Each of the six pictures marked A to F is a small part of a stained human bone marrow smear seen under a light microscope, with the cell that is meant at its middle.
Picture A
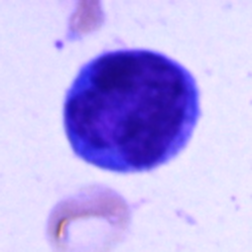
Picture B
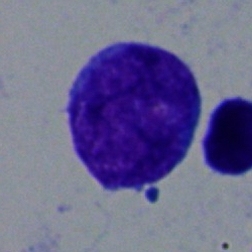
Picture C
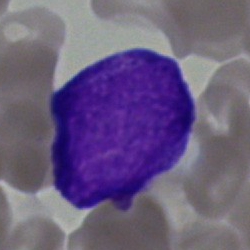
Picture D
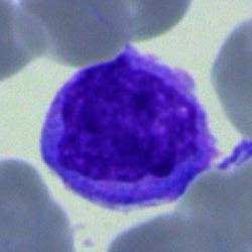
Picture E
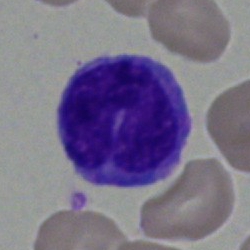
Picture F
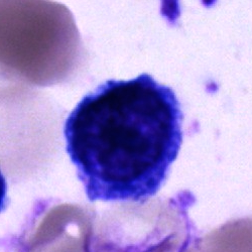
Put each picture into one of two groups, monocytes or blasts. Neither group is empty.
A: monocyte
B: blast
C: blast
D: monocyte
E: monocyte
F: blast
